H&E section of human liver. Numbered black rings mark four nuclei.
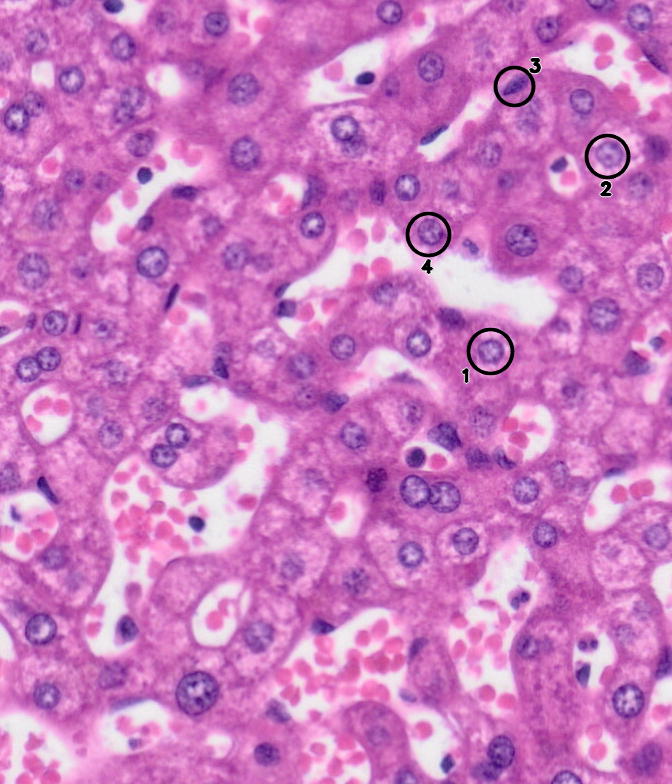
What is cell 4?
hepatocyte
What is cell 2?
hepatocyte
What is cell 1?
hepatocyte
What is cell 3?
fibroblast or stellate cell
